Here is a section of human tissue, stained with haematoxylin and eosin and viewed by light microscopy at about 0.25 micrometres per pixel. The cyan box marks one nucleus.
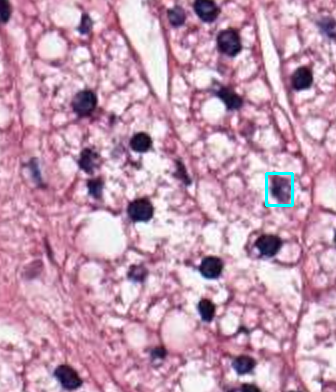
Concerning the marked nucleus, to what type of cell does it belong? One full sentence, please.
The cell containing the marked nucleus is an adrenal cortical cell.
